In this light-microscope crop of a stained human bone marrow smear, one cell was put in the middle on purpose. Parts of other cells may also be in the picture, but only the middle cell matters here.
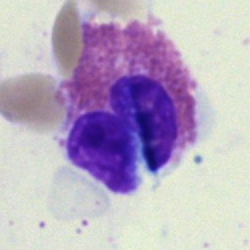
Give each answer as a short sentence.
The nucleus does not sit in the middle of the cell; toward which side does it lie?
The nucleus is pushed toward the bottom of the cell.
